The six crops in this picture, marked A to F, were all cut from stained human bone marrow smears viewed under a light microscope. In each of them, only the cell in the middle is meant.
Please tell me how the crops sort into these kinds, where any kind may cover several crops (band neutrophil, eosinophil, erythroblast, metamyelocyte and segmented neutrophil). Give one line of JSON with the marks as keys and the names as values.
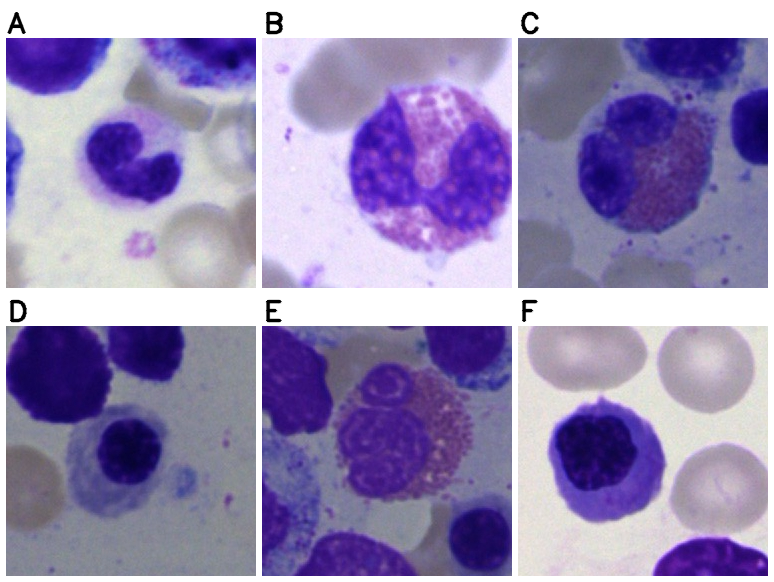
{"A": "band neutrophil", "B": "eosinophil", "C": "eosinophil", "D": "erythroblast", "E": "eosinophil", "F": "erythroblast"}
